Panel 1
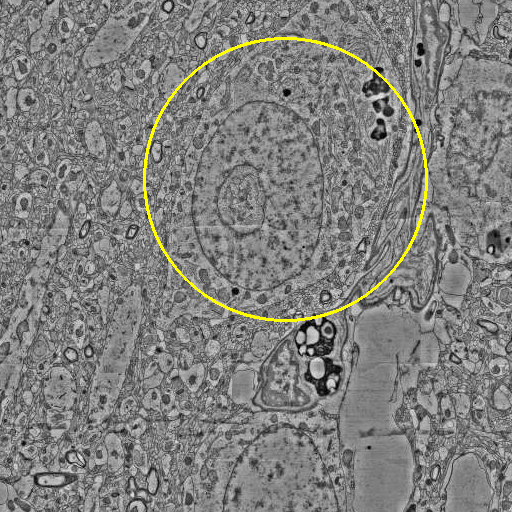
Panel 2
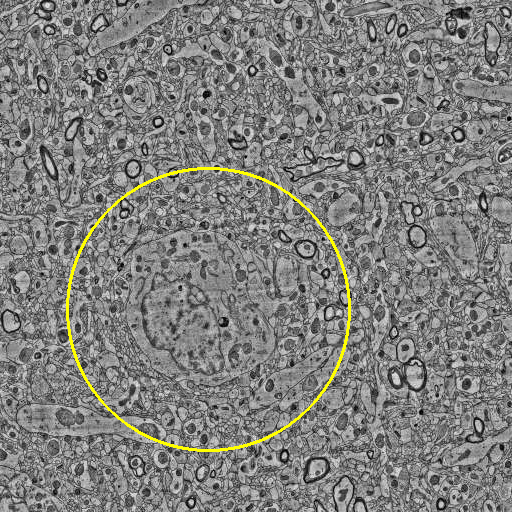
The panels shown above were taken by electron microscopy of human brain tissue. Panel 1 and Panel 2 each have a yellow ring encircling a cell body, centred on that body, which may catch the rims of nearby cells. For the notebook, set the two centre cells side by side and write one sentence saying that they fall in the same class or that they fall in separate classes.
The centred cells of Panel 1 and Panel 2 fall in the same class.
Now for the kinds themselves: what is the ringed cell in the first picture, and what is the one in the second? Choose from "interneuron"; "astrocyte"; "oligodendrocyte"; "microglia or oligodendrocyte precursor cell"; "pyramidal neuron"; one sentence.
Each one of the two ringed cells is an interneuron.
